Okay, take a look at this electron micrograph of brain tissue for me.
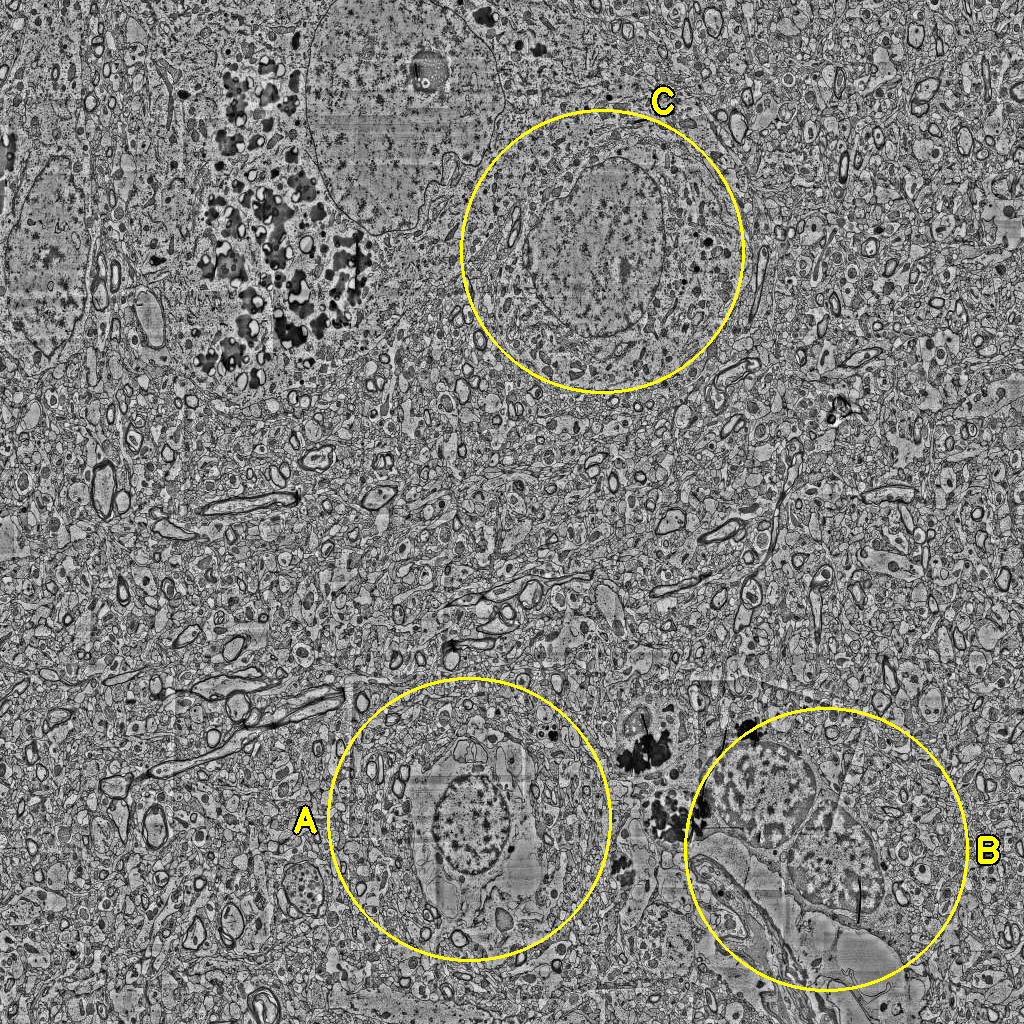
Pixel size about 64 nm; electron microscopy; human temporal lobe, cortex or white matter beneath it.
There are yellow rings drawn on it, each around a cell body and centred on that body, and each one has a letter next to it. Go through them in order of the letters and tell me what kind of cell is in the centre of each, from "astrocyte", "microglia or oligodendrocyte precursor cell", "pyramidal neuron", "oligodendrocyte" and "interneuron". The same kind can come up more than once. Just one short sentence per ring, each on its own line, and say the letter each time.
In the centre of ring A there's an astrocyte.
In the centre of ring B there's an oligodendrocyte.
In the centre of ring C there's an interneuron.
